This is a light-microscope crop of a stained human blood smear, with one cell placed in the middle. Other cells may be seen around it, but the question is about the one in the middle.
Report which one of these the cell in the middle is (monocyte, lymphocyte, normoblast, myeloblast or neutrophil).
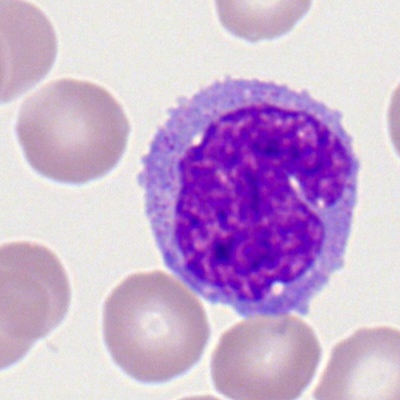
monocyte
